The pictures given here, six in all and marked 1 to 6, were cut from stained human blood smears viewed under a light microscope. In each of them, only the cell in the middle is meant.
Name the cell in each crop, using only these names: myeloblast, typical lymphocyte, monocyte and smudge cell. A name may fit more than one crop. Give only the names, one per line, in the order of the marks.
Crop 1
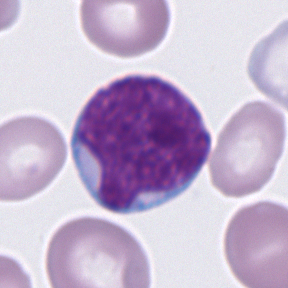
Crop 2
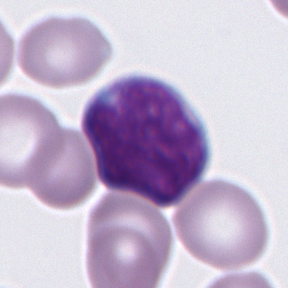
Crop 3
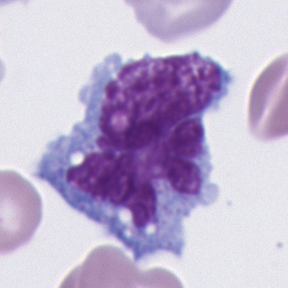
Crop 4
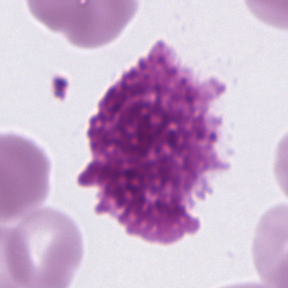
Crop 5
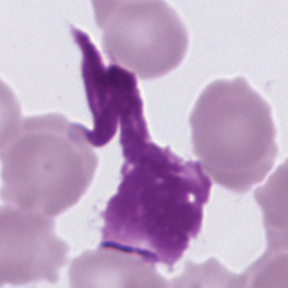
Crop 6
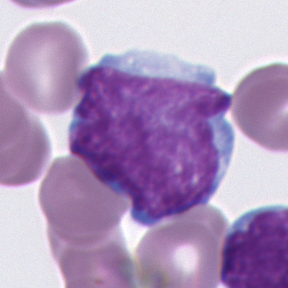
myeloblast
myeloblast
monocyte
smudge cell
smudge cell
myeloblast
